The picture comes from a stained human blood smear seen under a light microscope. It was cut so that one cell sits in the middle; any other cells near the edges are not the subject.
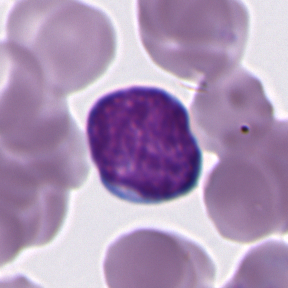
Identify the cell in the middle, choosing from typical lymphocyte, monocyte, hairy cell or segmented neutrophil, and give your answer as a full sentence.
The central cell, amid any neighbouring cells, is a typical lymphocyte.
